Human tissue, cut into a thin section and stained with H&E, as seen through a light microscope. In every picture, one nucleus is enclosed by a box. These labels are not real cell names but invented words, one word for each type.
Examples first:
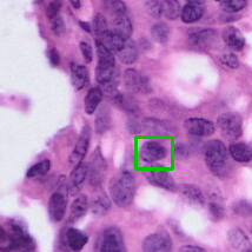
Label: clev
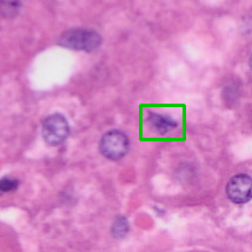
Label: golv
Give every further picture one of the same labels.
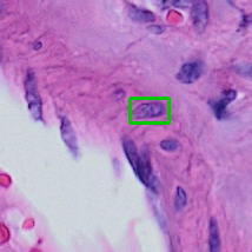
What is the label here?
golv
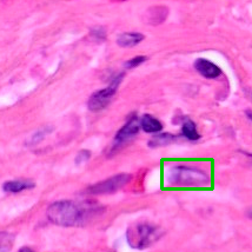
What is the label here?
golv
